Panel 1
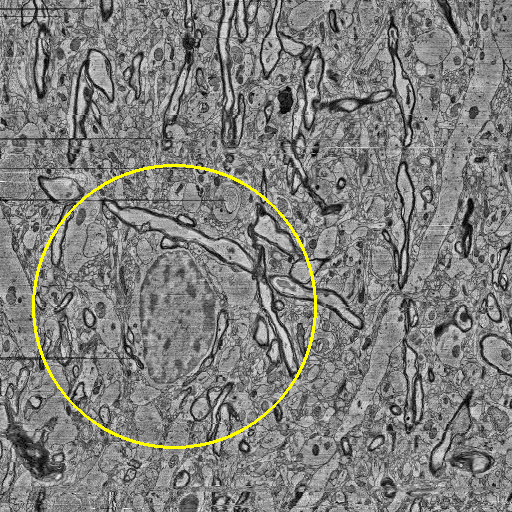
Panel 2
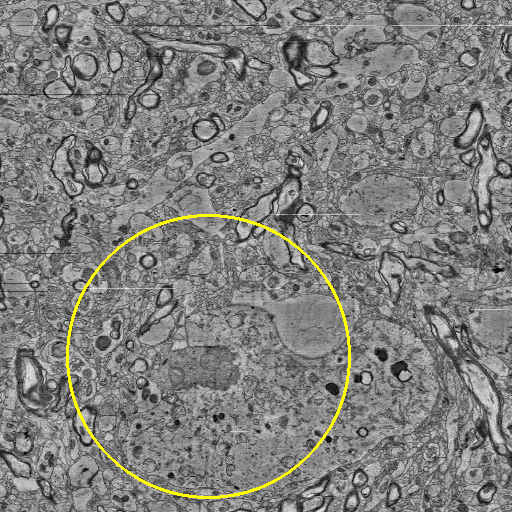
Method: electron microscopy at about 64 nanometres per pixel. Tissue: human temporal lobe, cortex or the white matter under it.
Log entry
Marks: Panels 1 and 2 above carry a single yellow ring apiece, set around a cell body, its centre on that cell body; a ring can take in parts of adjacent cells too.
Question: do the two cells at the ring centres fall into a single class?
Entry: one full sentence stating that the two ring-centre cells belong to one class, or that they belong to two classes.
The two ring-centre cells in Panels 1 and 2 belong to one class.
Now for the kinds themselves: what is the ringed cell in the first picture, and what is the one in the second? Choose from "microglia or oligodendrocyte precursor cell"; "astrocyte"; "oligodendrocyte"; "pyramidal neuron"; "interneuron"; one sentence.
Each of the ringed cells, first and second, is an oligodendrocyte.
